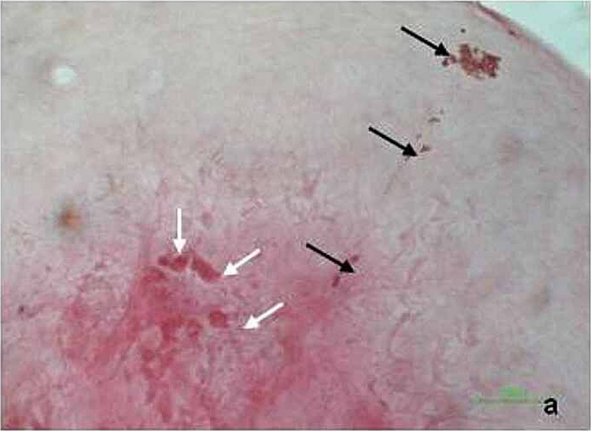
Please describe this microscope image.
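Near the lower centre is a broad area stained diffusely magenta, and within it lie several irregular rounded bodies of a deeper magenta, the globules. The rest of the fragment is pale pink with a faint, finely mottled texture.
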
